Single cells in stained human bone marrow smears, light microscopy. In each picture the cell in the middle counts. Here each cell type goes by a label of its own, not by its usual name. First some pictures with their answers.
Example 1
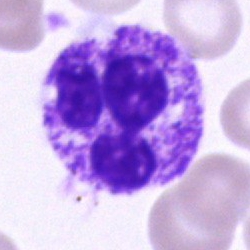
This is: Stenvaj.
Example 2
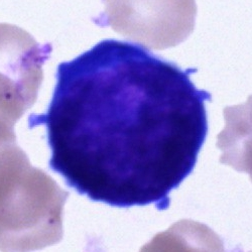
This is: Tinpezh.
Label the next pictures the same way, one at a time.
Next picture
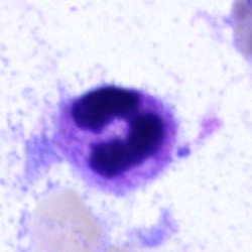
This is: Stenvaj.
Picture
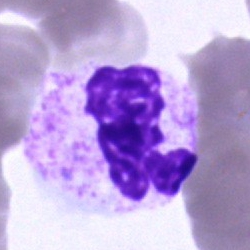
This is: Stenvaj.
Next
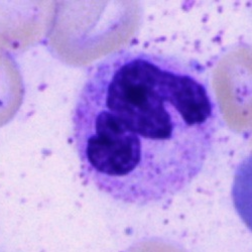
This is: Stenvaj.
